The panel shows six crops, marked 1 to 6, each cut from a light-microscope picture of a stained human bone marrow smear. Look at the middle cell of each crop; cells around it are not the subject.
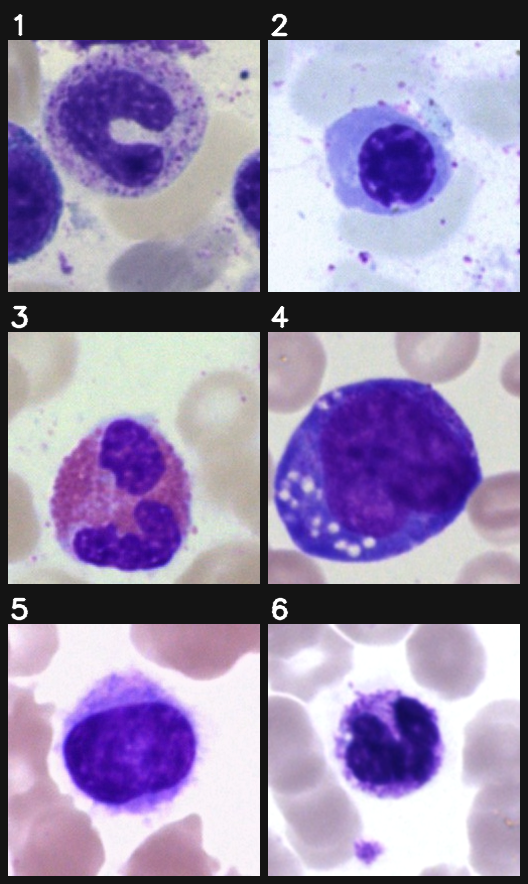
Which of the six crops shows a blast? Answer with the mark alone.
4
